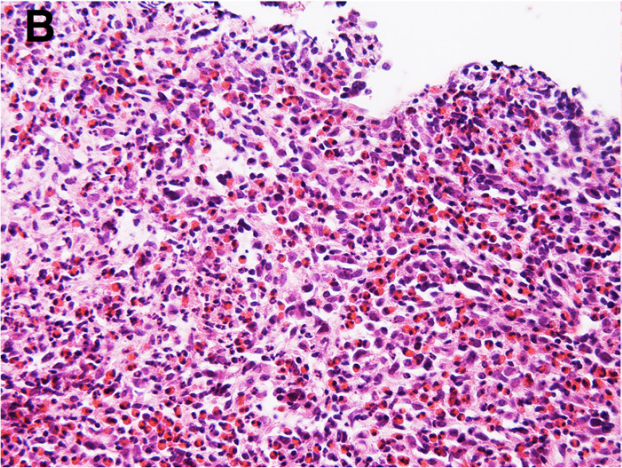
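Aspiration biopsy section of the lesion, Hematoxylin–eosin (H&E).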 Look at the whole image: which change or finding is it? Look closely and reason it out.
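Many cells throughout the field have bright orange-red granular cytoplasm. On this evidence: marked eosinophilia.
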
